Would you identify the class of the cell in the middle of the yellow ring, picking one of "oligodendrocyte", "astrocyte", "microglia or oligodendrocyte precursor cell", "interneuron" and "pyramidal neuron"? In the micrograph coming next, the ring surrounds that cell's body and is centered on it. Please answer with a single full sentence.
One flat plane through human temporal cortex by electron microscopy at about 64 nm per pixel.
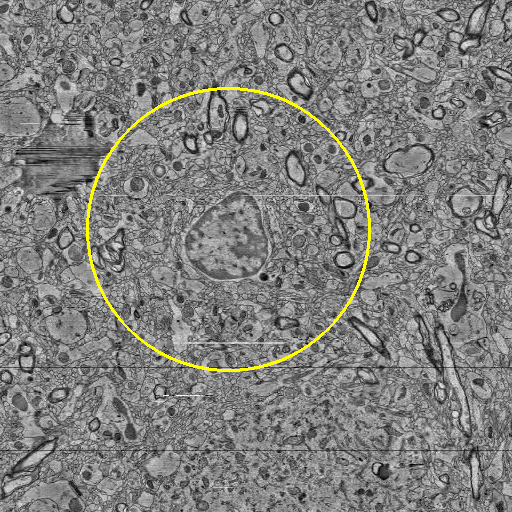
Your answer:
In the micrograph, it is a microglial cell or oligodendrocyte precursor cell whose body lies at the ring's center.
